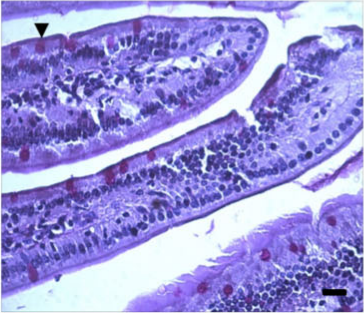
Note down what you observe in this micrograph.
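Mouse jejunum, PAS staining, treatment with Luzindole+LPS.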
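Intestinal villi are seen in longitudinal section, one with a rounded tip, separated by pale lumen. A simple columnar epithelium covers each villus, with dark nuclei in a row near the base of the layer and a thin magenta line at the apical surface. Magenta-stained goblet cells are interspersed in the epithelium, mostly near its luminal side. The villus cores contain densely packed small cells with dark nuclei.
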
